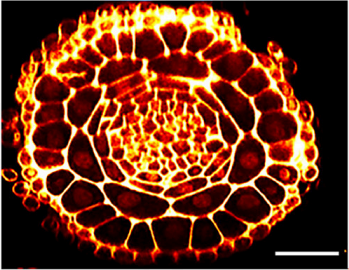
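Transverse section of a root in which cell outlines glow yellow-orange on a black background, showing concentric rings of tissues around a central vascular cylinder. An outer ring of small rounded epidermal cells surrounds a ring of larger, polygonal cortex cells, inside which lies a ring of cells around a central cylinder packed with many small cells.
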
